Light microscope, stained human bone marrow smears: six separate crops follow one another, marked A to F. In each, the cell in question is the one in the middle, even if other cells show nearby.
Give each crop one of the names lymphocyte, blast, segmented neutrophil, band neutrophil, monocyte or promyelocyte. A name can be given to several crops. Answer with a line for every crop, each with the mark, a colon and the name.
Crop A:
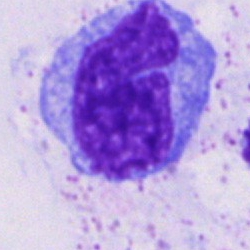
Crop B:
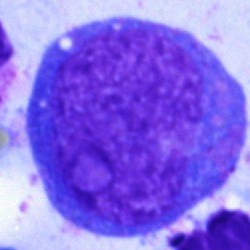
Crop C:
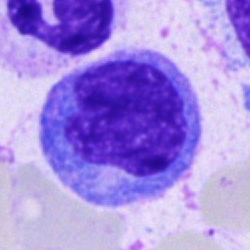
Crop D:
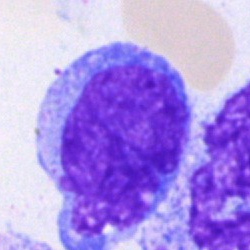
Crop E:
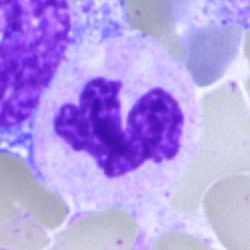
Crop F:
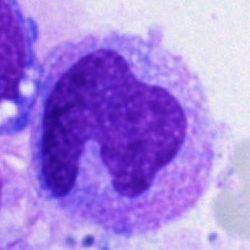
A: monocyte
B: promyelocyte
C: monocyte
D: blast
E: segmented neutrophil
F: monocyte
